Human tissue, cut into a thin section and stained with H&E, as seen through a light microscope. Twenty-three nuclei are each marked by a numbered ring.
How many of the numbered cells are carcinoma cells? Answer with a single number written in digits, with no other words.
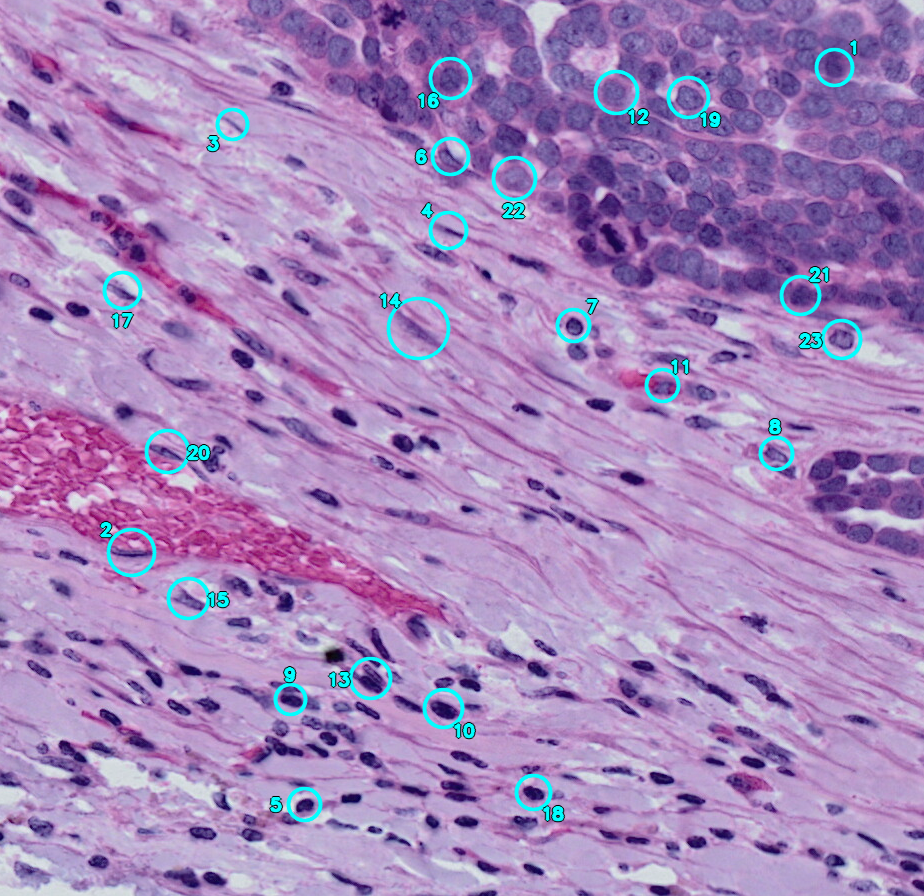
6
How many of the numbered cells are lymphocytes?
6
